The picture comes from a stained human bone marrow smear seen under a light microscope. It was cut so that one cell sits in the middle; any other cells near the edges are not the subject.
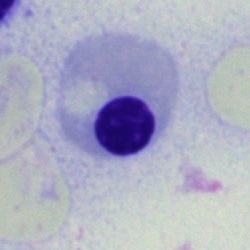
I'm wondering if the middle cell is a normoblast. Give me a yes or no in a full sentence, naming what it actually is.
Yes, the cell in the middle of the view is a normoblast.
